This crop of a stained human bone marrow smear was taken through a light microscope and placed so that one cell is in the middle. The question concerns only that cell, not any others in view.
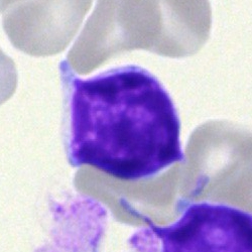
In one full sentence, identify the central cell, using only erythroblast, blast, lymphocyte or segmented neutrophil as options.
The cell around which this crop is centred is a lymphocyte.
